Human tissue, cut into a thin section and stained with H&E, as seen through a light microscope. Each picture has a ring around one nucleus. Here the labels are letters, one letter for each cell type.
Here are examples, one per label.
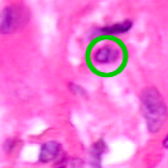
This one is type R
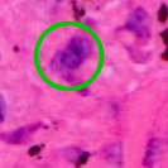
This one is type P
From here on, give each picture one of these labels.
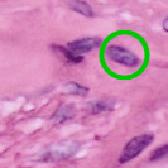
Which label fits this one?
type R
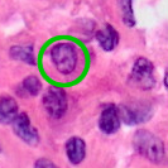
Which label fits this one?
type P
